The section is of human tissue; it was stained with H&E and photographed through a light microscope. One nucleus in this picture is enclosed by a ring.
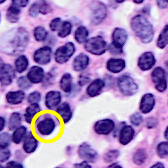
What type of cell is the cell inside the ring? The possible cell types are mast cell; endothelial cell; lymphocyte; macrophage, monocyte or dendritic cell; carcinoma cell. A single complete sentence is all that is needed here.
Placed in its cell category, the cell inside the ring is a lymphocyte.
